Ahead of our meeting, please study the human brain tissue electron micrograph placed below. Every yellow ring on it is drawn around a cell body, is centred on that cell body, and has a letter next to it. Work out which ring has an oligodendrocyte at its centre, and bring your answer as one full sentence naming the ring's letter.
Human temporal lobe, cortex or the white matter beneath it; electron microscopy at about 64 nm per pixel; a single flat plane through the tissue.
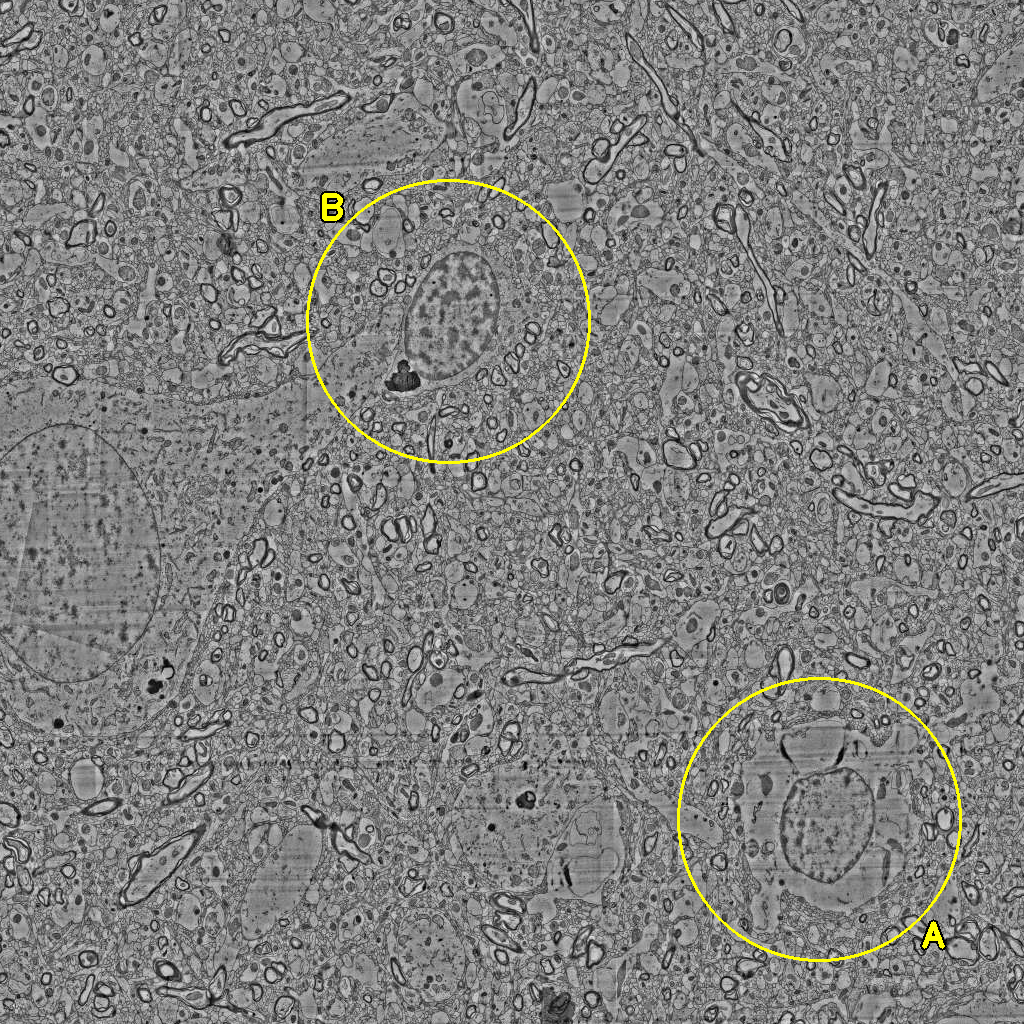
In the micrograph, ring B is the one centred on the cell I was asked to find.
